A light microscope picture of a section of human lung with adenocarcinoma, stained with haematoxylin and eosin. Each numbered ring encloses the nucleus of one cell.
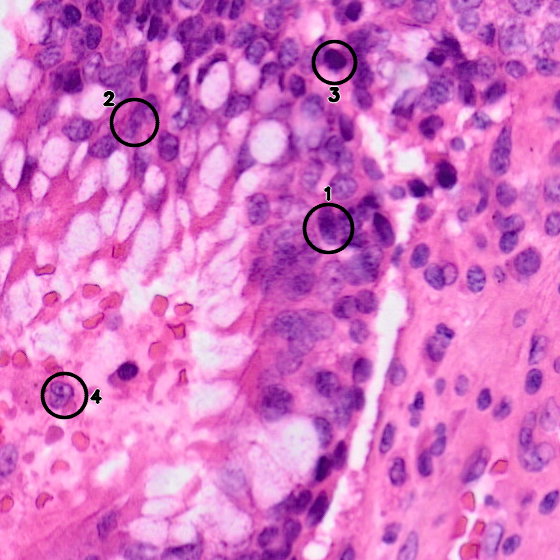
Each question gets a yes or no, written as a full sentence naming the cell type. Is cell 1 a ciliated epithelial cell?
Yes, of the numbered cells, number 1 is a ciliated epithelial cell.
